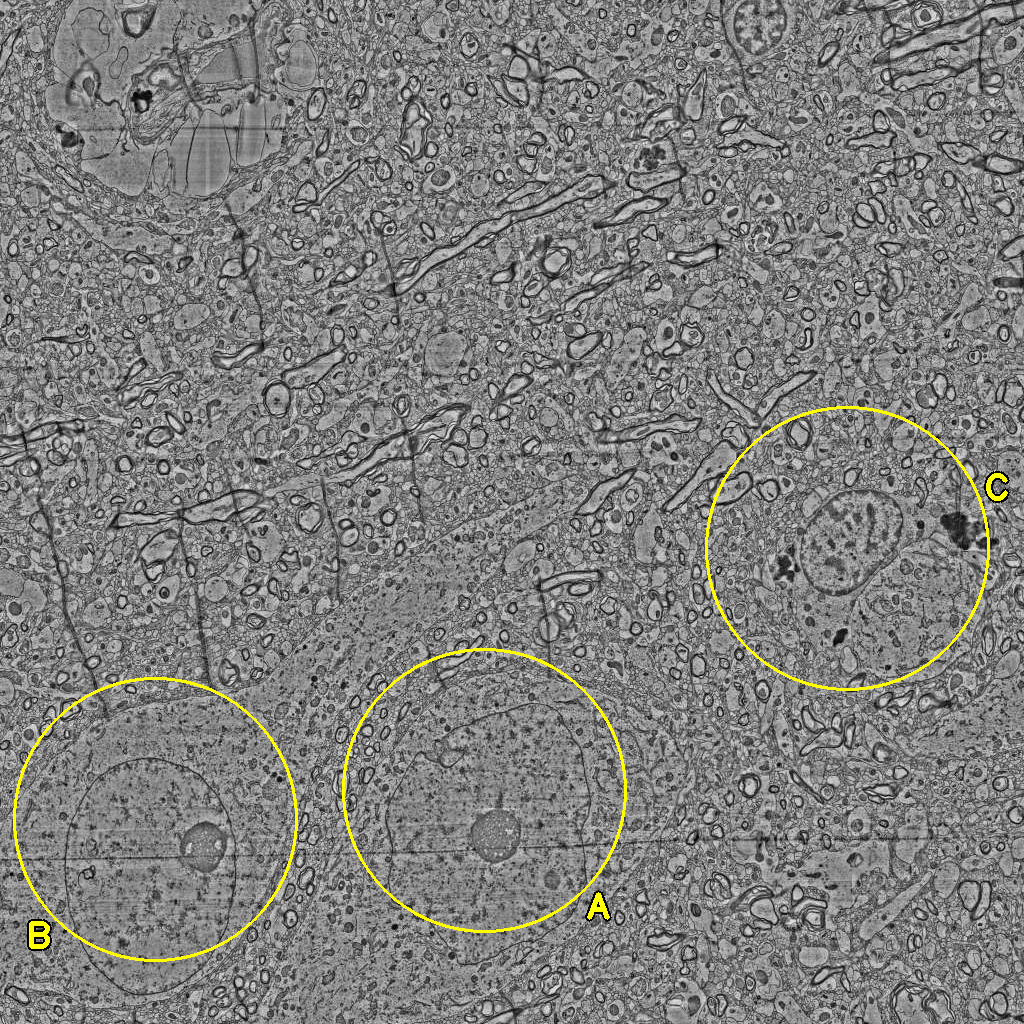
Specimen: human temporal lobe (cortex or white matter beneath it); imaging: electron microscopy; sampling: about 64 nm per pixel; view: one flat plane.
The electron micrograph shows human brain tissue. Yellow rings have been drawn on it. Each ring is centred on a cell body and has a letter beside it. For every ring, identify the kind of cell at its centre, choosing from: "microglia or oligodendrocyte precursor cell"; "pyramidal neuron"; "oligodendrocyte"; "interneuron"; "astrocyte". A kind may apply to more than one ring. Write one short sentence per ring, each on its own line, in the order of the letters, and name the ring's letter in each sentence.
Ring A is centred on a pyramidal neuron.
Ring B is centred on a pyramidal neuron.
Ring C is centred on an oligodendrocyte.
